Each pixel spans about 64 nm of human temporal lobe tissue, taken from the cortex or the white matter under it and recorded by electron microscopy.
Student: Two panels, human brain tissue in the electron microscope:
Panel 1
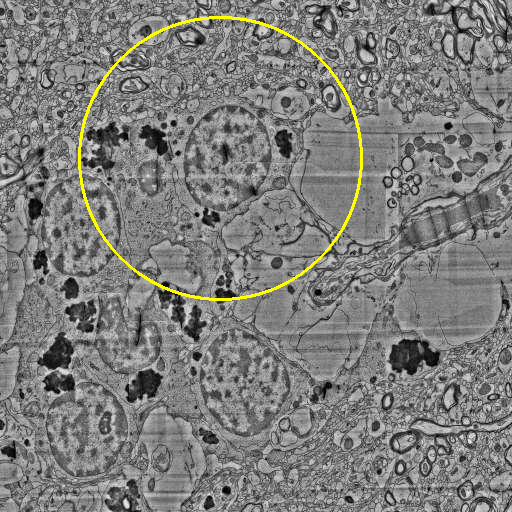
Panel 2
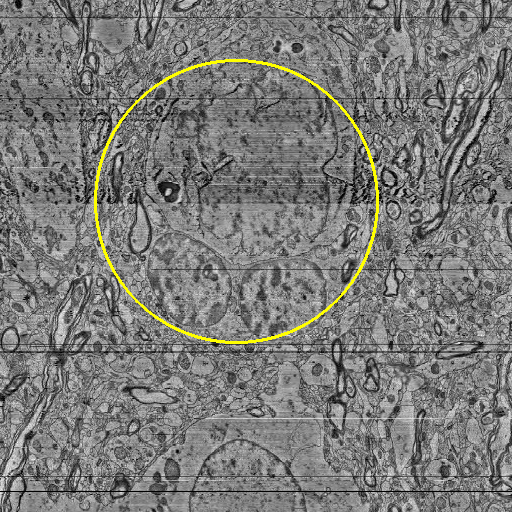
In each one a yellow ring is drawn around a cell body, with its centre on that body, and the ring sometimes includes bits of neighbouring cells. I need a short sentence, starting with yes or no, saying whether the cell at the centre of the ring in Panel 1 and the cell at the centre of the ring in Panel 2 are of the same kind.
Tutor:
No, they are two kinds of cell.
